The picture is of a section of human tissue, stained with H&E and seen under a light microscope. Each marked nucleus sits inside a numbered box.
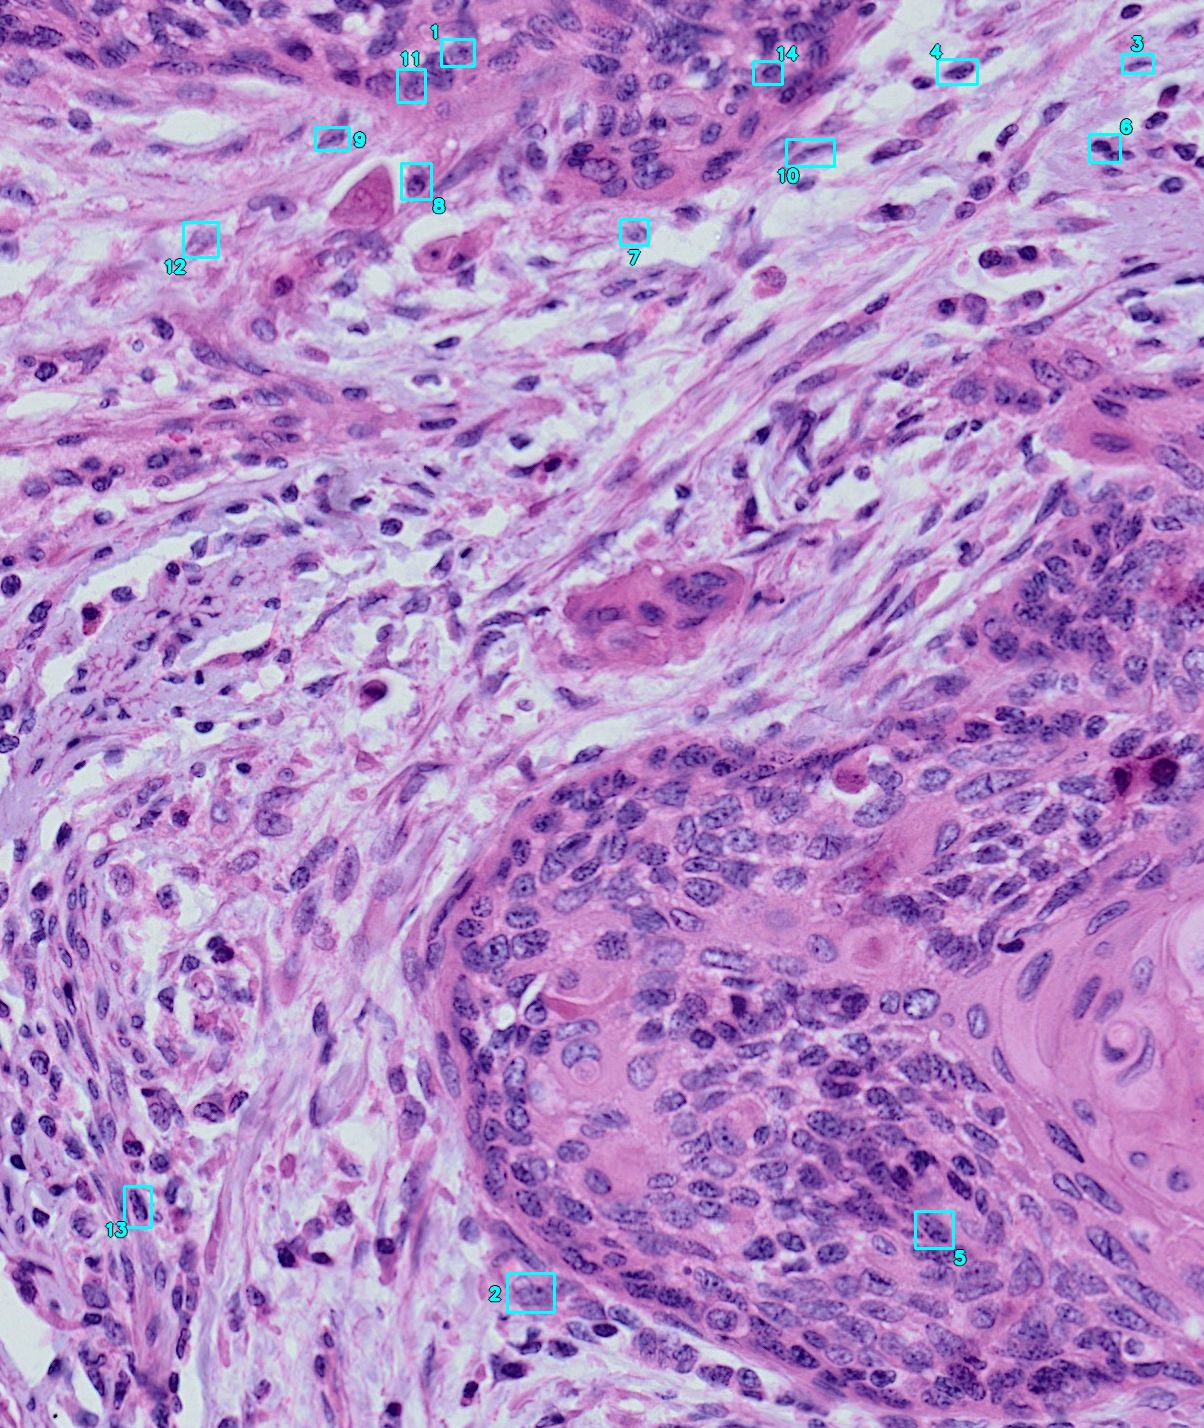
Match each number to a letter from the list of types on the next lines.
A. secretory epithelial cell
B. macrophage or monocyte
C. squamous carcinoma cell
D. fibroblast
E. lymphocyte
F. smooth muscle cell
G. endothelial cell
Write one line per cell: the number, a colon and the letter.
1: C
2: G
3: D
4: E
5: C
6: E
7: D
8: B
9: D
10: D
11: C
12: D
13: E
14: C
